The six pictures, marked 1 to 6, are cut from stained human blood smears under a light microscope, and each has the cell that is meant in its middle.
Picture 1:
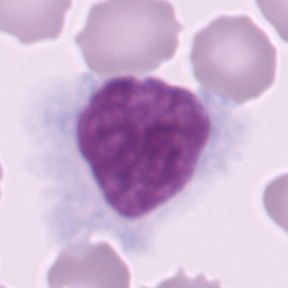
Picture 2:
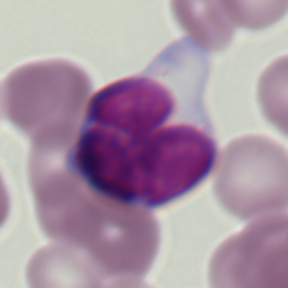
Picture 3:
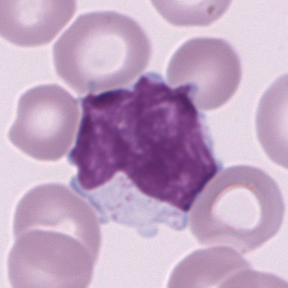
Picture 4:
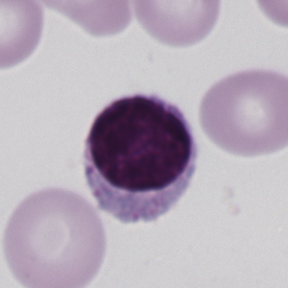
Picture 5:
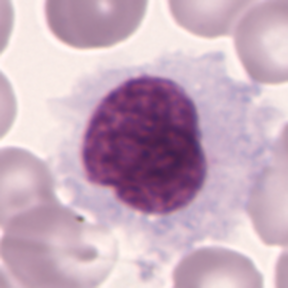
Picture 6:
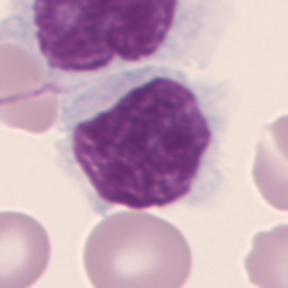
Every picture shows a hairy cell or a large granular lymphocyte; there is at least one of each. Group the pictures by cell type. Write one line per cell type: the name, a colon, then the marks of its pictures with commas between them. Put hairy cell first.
hairy cell: 1, 5, 6
large granular lymphocyte: 2, 3, 4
